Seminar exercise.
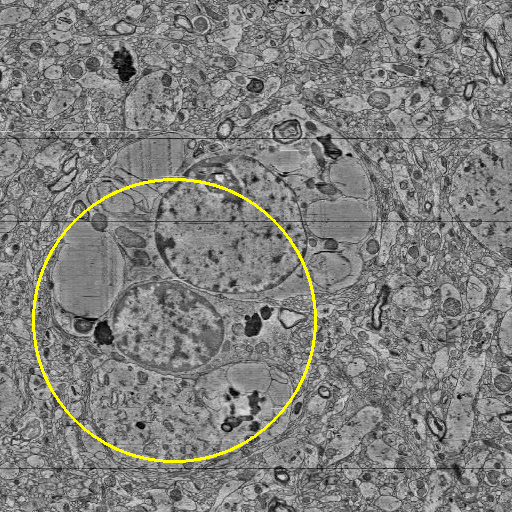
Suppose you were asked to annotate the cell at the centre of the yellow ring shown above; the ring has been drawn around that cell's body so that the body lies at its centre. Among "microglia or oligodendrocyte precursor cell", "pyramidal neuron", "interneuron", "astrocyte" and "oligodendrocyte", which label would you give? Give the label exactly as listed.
oligodendrocyte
